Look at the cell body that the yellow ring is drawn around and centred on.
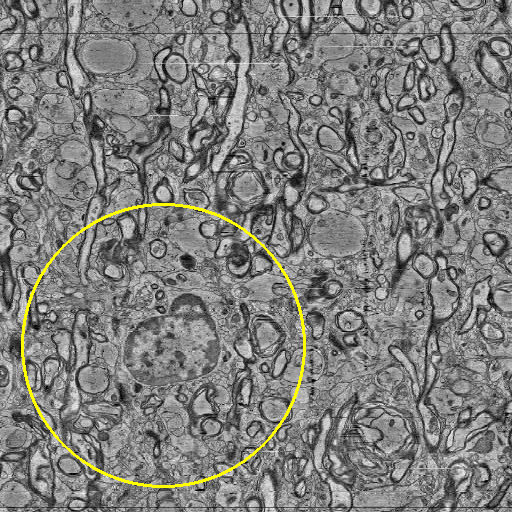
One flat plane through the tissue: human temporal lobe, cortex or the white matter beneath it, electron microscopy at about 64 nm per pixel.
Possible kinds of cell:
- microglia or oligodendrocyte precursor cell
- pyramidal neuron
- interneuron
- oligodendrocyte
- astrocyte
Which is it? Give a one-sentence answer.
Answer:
The centred cell body is that of a microglial cell or oligodendrocyte precursor cell.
